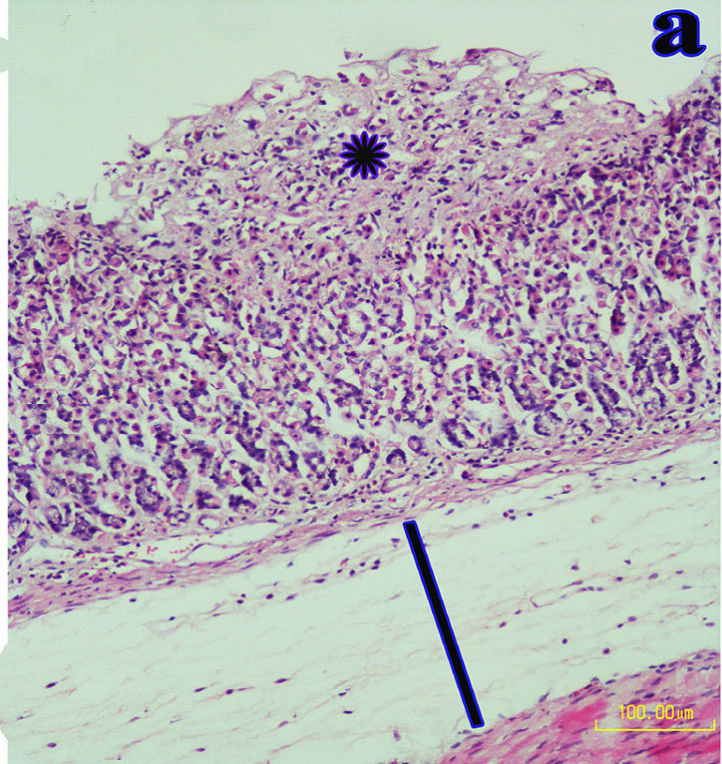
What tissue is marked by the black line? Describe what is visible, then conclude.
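The line spans a wide, pale, loosely textured layer. This layer lies between the glandular mucosa above and a pink muscle layer below. Scattered small nuclei lie in the pale layer.
Hence: Tunica submucosa.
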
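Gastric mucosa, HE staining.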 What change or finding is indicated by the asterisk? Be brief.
superficial erosion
